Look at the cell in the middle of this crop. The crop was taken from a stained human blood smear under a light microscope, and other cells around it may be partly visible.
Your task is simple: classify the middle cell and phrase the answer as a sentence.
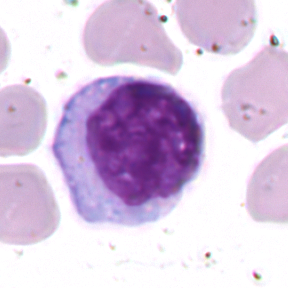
Looking at the middle of the crop, the cell there is a plasma cell.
